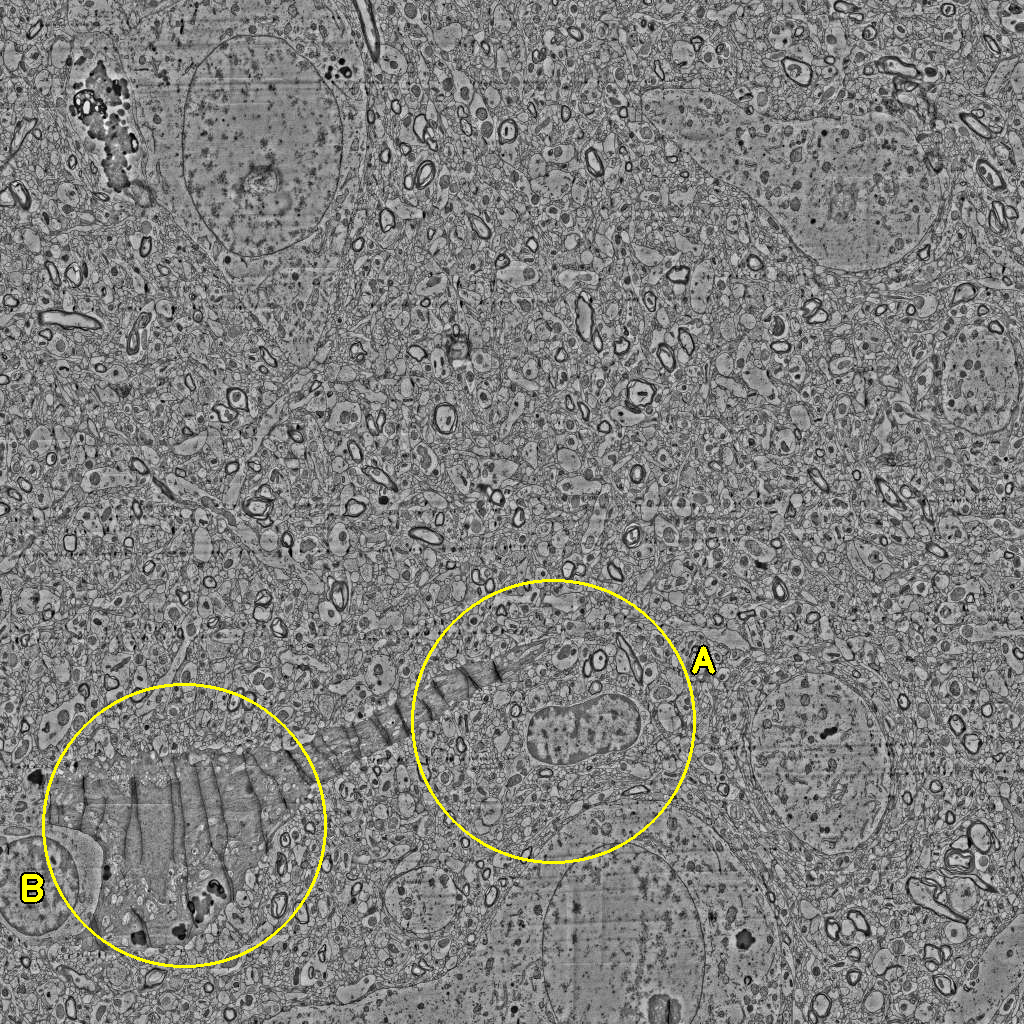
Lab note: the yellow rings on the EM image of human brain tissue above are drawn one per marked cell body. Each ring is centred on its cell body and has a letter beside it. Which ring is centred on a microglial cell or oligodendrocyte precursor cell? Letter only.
A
